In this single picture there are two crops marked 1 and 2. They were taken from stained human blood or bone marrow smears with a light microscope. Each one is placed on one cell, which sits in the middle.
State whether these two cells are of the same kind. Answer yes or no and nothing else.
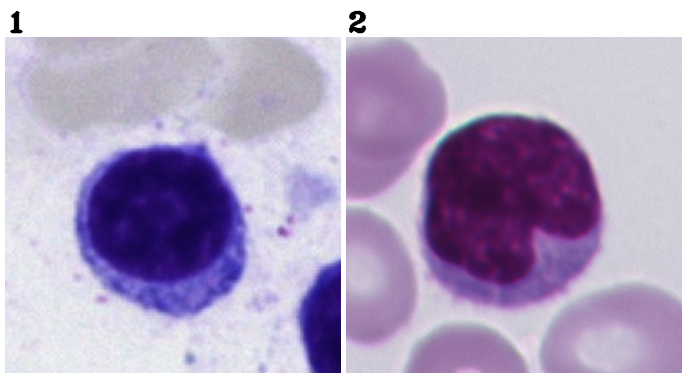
yes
